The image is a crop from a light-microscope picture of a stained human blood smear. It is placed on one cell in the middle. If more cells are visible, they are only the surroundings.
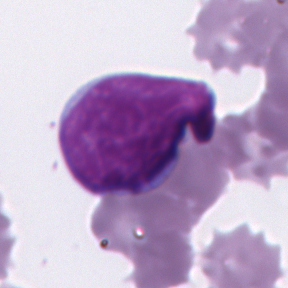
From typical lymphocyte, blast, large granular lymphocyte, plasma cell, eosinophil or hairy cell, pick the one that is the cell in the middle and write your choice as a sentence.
The cell centred in this crop is categorized as a blast.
